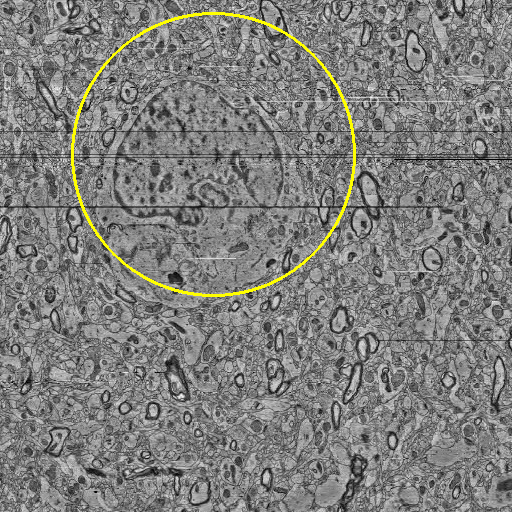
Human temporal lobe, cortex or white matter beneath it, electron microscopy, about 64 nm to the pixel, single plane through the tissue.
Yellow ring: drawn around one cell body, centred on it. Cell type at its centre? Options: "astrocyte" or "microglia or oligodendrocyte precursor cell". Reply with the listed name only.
microglia or oligodendrocyte precursor cell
